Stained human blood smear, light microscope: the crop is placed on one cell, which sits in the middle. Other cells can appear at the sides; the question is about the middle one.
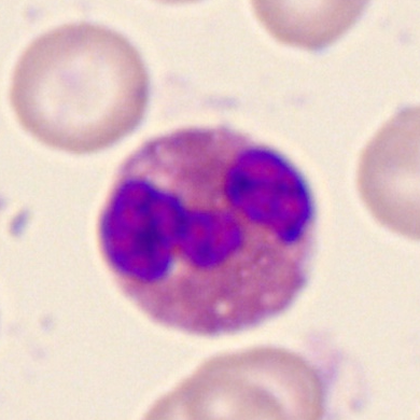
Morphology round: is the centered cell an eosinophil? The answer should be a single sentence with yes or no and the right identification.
Yes, the crop's central cell is an eosinophil.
